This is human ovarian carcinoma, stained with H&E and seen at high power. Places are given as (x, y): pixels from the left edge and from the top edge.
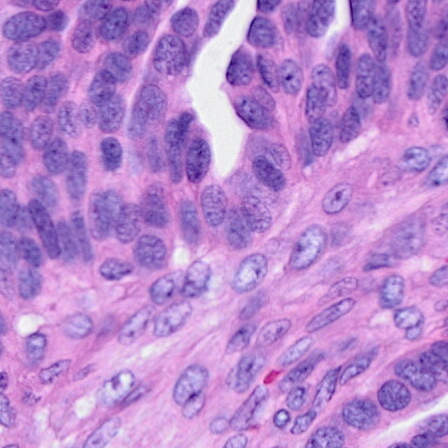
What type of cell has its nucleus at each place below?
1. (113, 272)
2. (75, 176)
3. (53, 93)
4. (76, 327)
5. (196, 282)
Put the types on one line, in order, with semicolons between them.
macrophage or monocyte; carcinoma cell; carcinoma cell; fibroblast; fibroblast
